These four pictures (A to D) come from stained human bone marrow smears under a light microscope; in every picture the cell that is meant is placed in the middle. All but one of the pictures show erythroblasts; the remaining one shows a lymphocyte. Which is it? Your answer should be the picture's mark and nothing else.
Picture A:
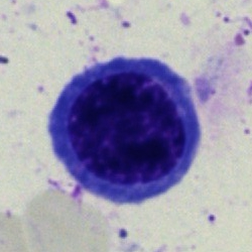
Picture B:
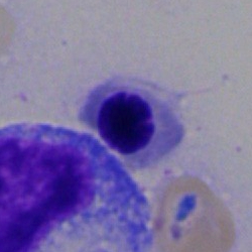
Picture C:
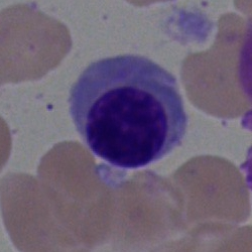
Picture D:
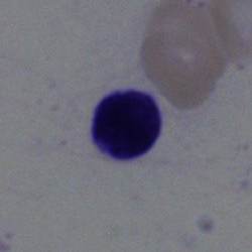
D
